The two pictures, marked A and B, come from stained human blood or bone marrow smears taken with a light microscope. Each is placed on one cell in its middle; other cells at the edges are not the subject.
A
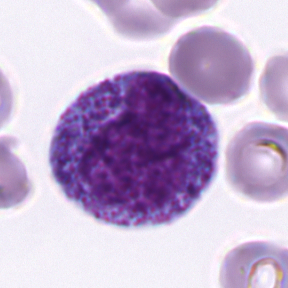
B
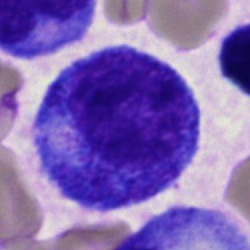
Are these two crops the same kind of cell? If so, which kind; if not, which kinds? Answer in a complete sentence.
Yes, promyelocytes are shown in both crops.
